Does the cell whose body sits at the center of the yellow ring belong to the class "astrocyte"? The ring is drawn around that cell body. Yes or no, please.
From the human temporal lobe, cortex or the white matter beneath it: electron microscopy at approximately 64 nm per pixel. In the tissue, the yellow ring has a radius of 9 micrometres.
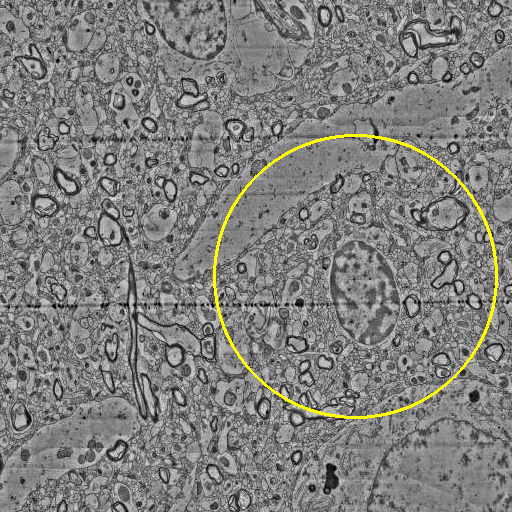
No, it belongs to another class.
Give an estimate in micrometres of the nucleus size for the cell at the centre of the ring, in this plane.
In this plane the nucleus is clearly longer than it is wide, at approximately 7 by 4 micrometres.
